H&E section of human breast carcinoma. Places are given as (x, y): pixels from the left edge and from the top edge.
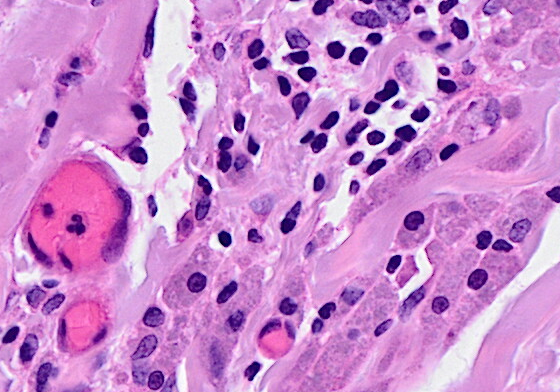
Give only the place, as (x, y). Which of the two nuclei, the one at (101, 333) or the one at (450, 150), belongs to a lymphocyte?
(450, 150)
